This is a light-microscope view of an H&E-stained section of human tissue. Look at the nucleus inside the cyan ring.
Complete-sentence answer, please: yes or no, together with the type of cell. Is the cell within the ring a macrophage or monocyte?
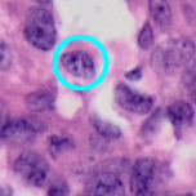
Yes, in short, the cell within the ring is a macrophage or monocyte here.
